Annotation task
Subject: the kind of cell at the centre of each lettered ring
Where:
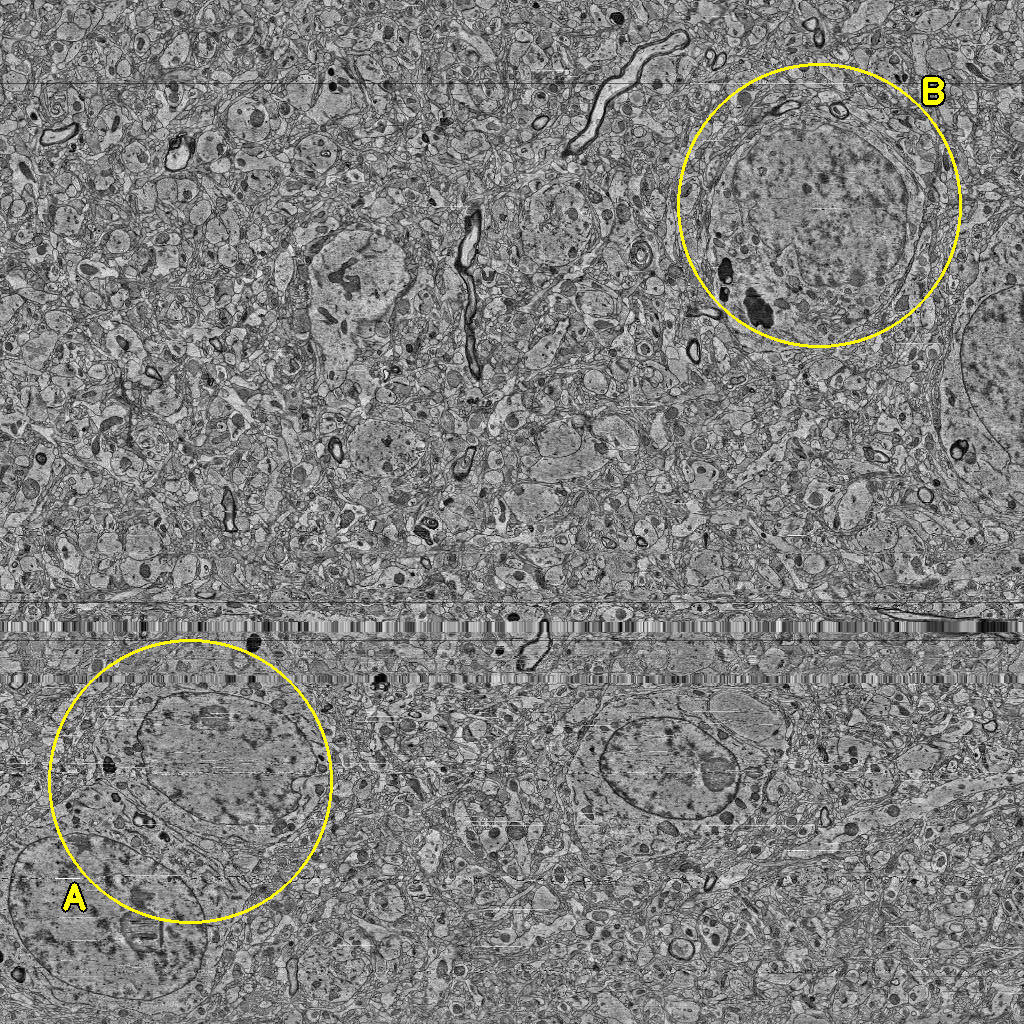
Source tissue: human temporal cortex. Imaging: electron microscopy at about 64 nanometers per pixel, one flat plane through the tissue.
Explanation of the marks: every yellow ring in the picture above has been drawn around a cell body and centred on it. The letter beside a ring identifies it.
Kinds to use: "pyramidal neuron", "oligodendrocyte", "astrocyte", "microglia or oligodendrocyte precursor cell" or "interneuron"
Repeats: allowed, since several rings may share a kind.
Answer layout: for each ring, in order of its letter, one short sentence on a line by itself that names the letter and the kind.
The ring lettered A is drawn around a pyramidal neuron.
The ring lettered B is drawn around an interneuron.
